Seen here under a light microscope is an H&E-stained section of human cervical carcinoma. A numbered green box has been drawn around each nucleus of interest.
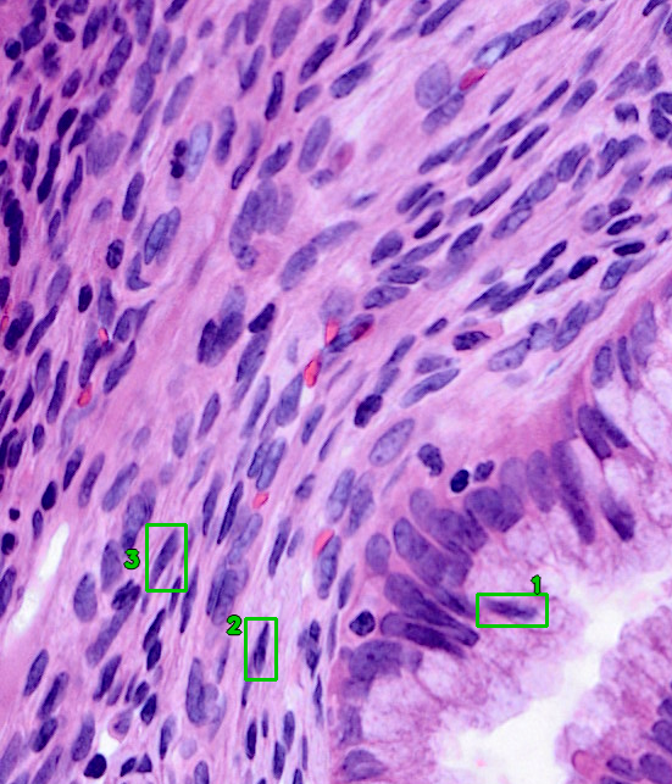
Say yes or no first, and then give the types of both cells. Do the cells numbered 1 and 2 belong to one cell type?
No, the right answer is a secretory epithelial cell for cell 1 and a fibroblast for cell 2.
